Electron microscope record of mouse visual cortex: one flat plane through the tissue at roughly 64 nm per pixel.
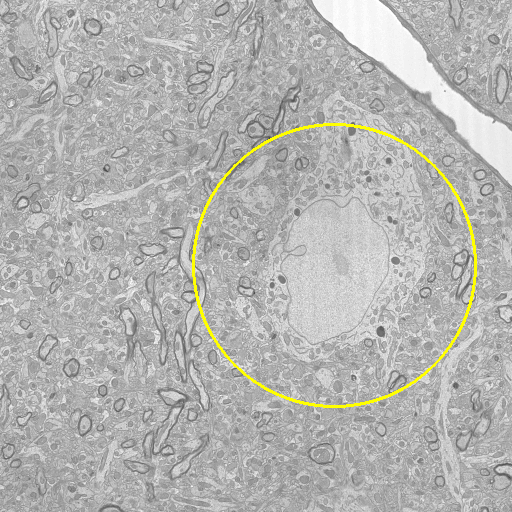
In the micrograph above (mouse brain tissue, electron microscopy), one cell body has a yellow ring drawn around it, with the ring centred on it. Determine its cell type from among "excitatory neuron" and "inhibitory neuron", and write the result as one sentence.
The cell whose body is ringed is an inhibitory neuron.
